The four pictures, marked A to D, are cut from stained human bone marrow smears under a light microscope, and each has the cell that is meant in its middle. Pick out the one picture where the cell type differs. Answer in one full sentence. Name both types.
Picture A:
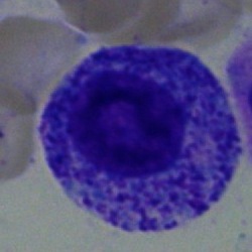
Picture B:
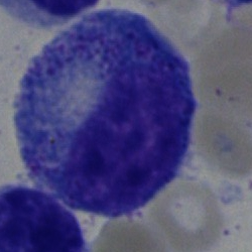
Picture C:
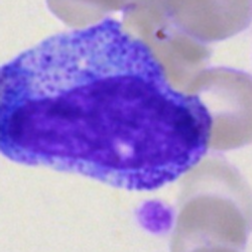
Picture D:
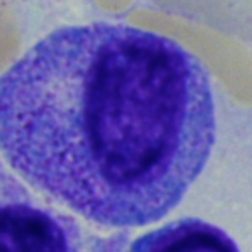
The others show promyelocytes, but picture A shows a myelocyte.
